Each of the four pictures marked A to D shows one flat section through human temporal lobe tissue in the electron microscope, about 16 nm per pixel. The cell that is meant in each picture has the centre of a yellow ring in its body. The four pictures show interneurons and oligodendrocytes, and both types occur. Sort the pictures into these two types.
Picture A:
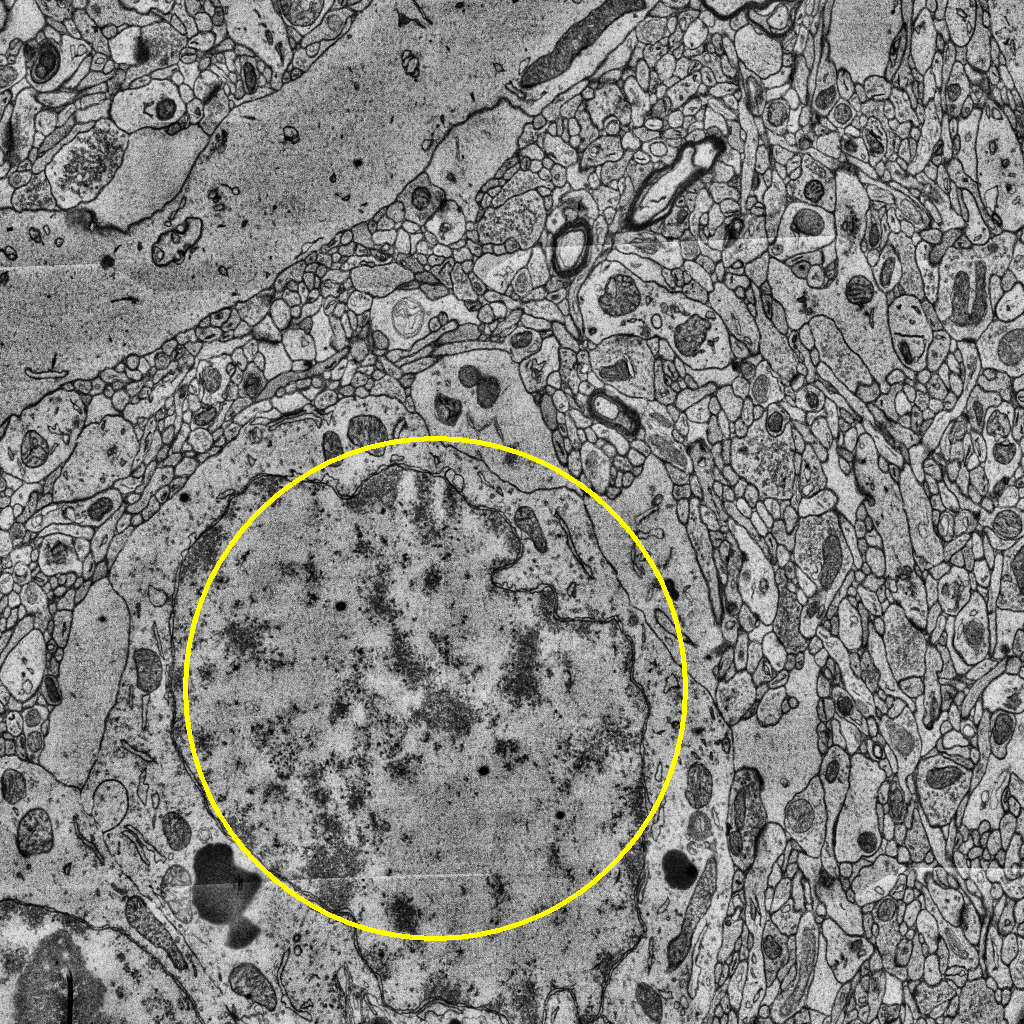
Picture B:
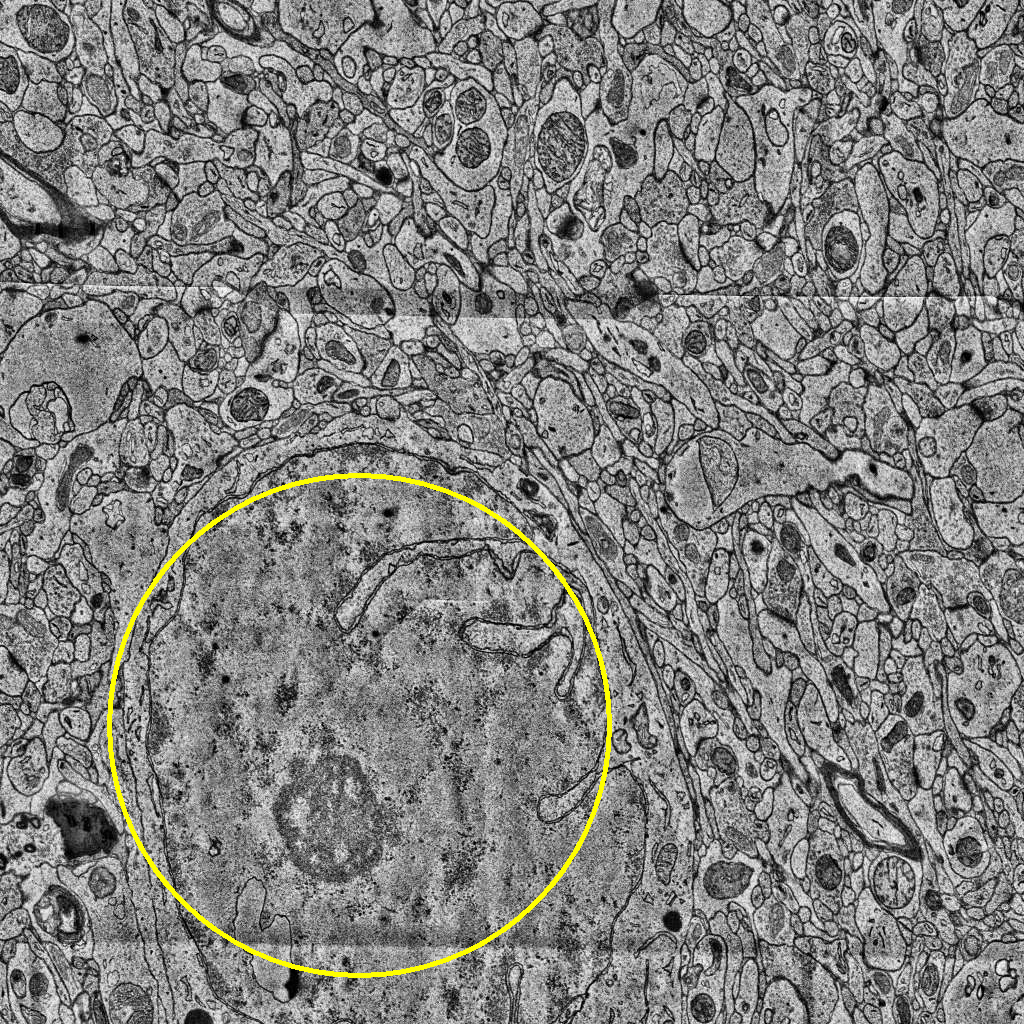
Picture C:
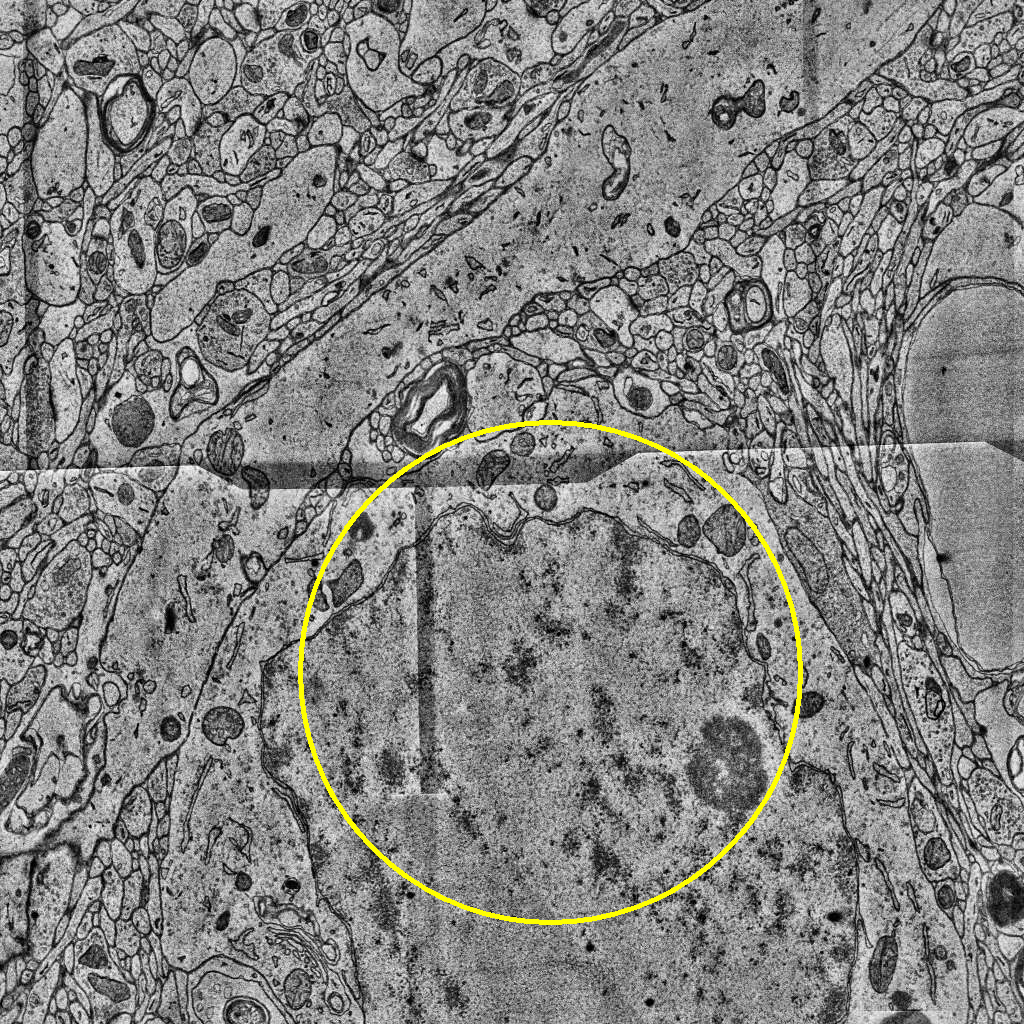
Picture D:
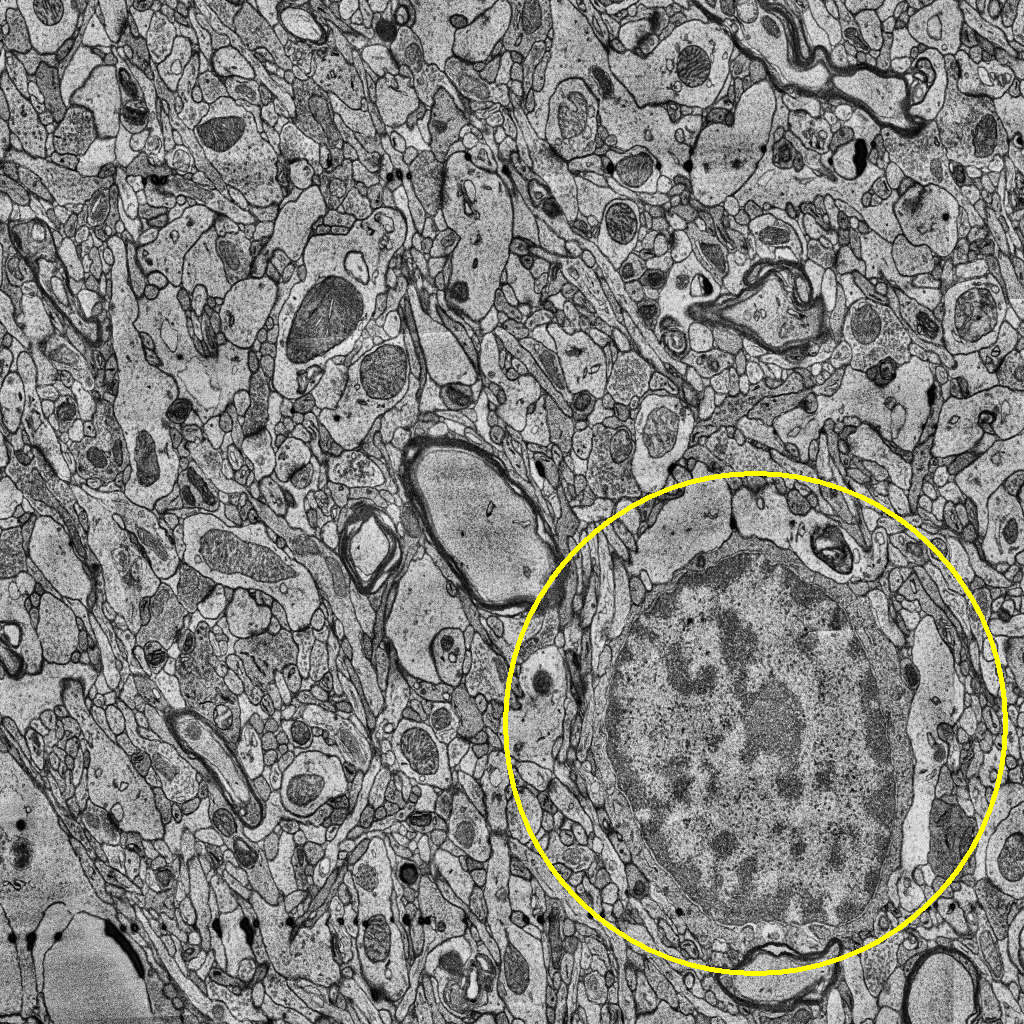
Pictures A, B and C show interneurons, while picture D shows an oligodendrocyte.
